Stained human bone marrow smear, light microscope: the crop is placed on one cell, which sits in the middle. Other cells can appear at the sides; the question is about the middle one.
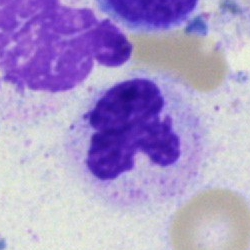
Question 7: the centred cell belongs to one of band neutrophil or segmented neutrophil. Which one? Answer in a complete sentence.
This crop is built around a segmented neutrophil at its centre.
